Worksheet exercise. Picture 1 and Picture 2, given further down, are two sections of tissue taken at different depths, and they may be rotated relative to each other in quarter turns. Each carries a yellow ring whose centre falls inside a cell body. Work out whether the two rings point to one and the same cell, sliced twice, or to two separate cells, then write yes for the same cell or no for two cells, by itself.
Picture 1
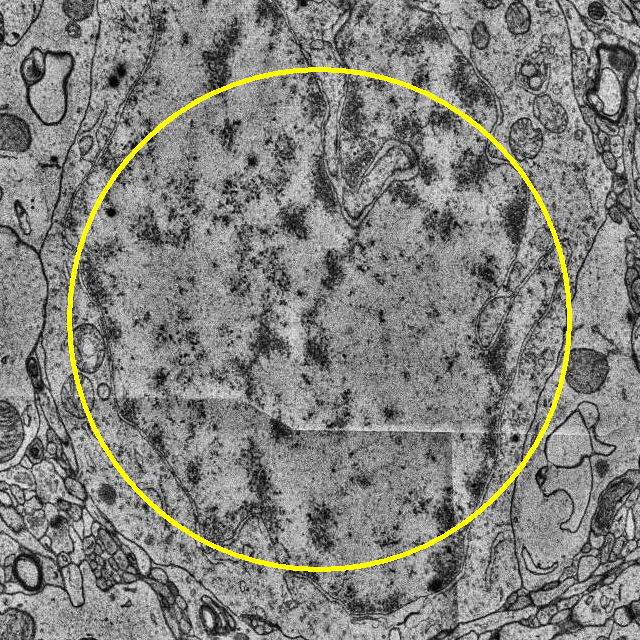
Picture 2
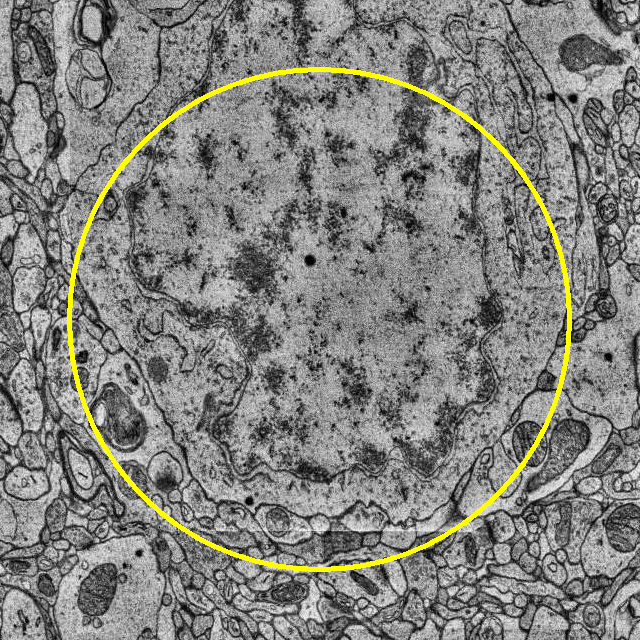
yes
